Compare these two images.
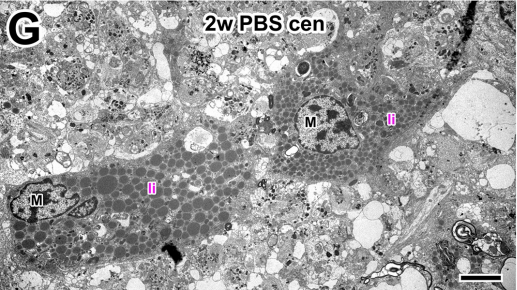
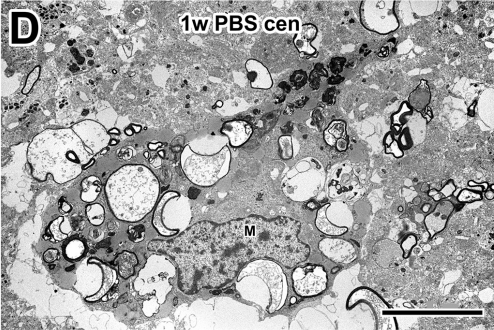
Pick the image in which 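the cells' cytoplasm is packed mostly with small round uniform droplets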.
the first image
